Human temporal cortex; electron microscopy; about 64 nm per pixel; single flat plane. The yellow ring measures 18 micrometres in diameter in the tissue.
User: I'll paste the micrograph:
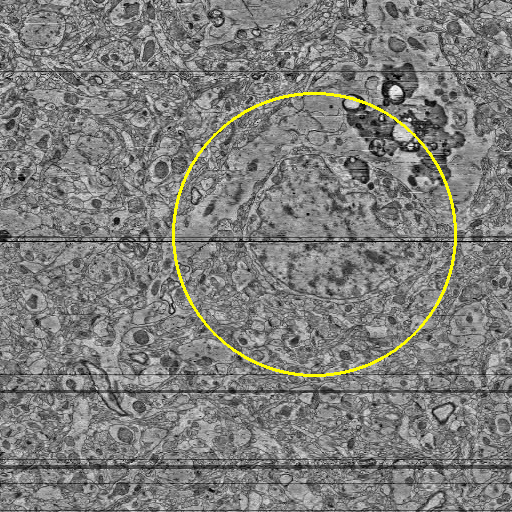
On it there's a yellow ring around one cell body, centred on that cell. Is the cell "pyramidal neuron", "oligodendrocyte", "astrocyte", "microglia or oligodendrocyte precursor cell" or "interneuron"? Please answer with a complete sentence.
The cell ringed in yellow is an interneuron.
